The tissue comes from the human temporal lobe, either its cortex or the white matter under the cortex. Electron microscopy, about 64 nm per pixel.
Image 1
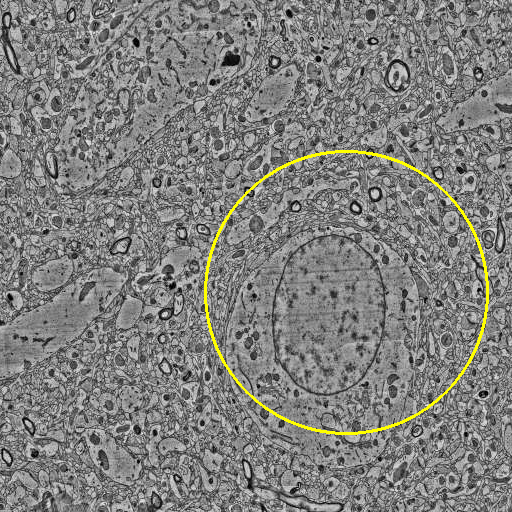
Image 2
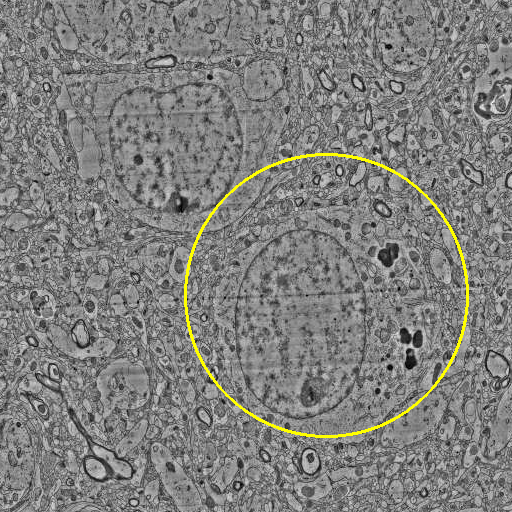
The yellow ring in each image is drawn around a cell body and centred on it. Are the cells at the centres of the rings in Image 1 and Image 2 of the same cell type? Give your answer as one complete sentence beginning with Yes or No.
No, the two cells are of two separate types.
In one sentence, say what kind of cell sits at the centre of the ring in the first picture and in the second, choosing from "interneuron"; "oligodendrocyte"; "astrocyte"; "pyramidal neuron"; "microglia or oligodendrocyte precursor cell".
The first picture's ringed cell is a pyramidal neuron, while the second picture's is an interneuron.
